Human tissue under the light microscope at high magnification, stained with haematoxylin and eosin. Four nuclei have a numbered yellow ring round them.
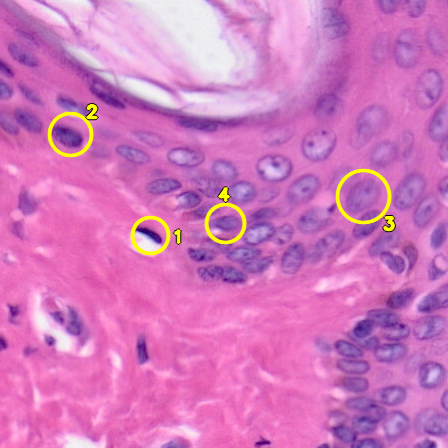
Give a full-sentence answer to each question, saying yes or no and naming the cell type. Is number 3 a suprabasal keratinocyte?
Yes, in this tissue section, number 3 is a suprabasal keratinocyte.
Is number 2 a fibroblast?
No, the correct answer for cell 2 is a basal keratinocyte, not a fibroblast.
